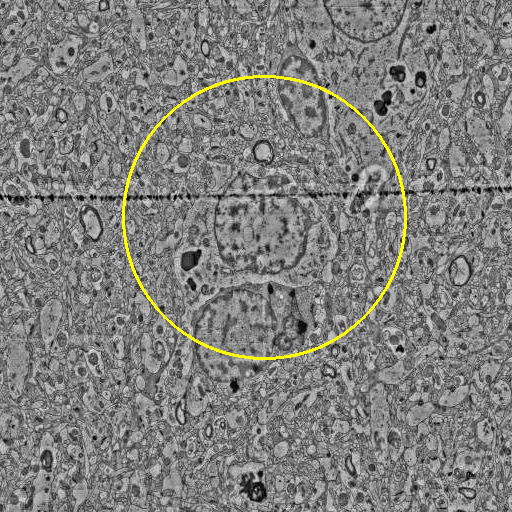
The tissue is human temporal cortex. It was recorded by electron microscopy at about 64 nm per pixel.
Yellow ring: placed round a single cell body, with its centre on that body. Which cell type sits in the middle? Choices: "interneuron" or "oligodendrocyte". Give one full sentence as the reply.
It is an interneuron whose cell body sits at the centre of the yellow ring.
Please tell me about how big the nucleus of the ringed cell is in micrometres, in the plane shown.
About 6 micrometres across, as seen in this plane.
